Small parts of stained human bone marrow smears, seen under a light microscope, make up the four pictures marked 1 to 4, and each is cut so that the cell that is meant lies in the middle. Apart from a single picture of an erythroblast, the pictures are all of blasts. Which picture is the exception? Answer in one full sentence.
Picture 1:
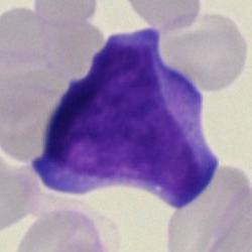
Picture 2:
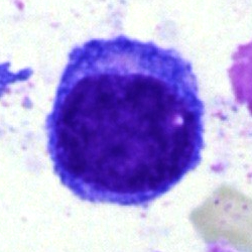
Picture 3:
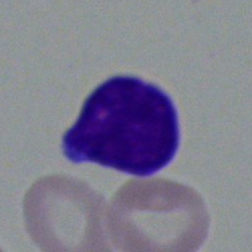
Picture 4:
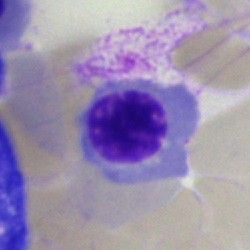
The picture with the erythroblast is 4.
